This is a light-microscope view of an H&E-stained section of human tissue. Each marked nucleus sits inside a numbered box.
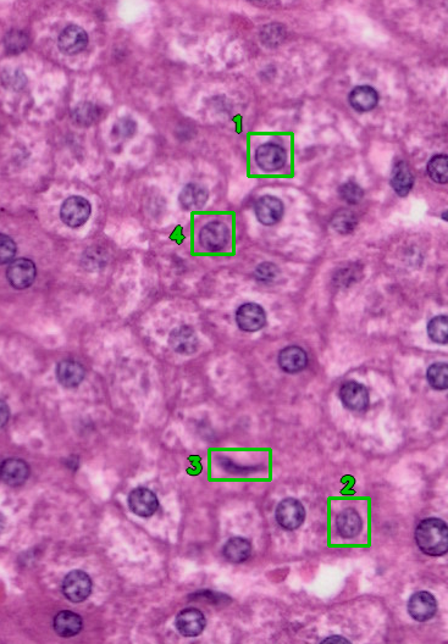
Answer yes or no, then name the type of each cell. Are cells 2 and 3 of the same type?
No, unlike cell 3, which is a Kupffer cell, cell 2 is a hepatocyte.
